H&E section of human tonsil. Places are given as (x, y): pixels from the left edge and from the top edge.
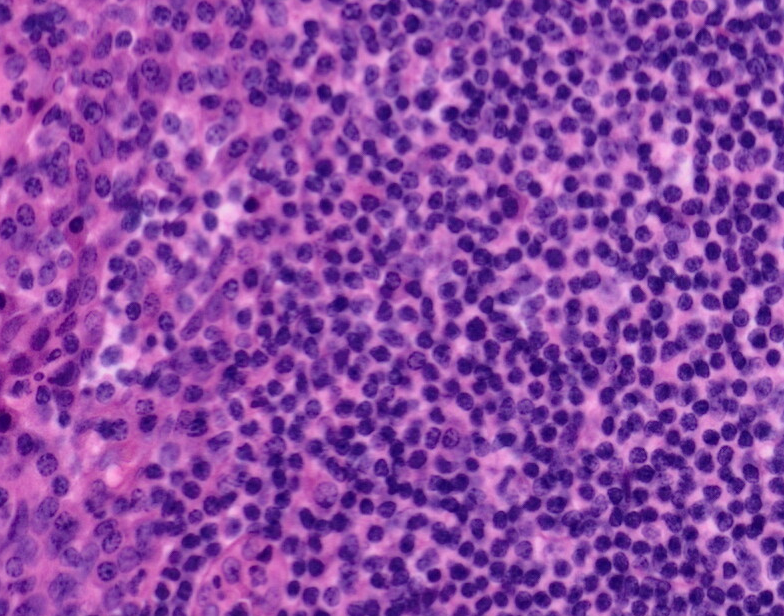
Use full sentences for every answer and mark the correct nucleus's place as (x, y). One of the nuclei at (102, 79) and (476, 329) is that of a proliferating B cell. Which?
The member of the pair belonging to a proliferating B cell is the nucleus at (476, 329).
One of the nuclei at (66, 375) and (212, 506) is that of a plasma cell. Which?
The member of the pair belonging to a plasma cell is the nucleus at (212, 506).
